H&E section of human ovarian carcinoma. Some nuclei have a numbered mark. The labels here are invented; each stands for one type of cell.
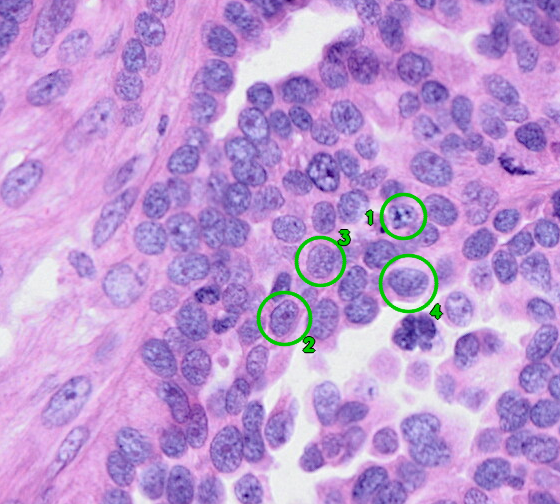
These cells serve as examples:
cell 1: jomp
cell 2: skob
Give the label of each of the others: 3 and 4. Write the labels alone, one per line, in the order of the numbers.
skob
skob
